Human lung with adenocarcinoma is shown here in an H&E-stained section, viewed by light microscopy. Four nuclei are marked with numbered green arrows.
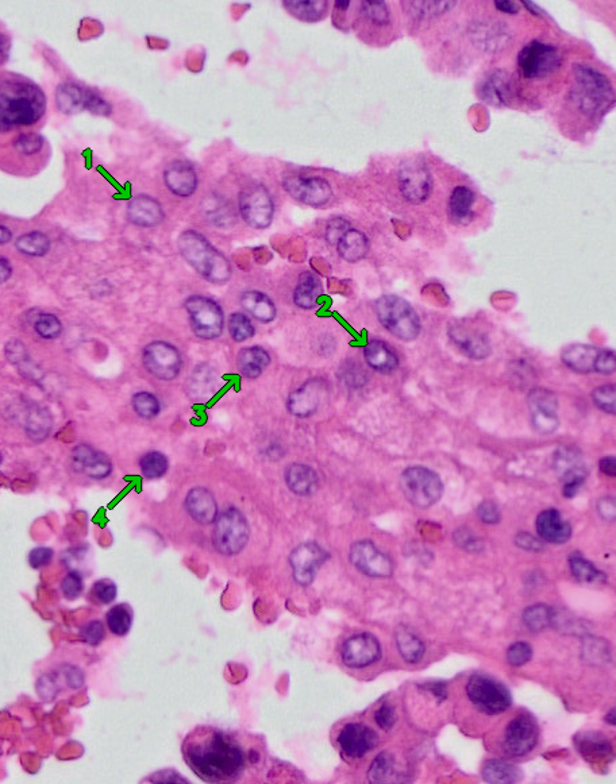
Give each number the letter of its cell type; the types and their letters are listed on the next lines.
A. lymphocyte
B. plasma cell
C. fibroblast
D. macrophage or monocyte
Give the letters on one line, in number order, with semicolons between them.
D; D; D; A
